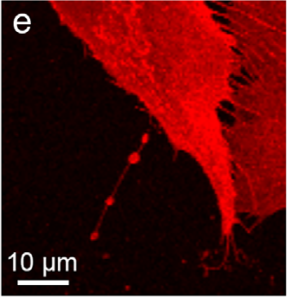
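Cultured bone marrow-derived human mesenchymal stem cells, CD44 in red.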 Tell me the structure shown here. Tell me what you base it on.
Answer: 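Pearling protrusion. A thin red thread extends from the cell edge. Round bright beads are spaced along the thread.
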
